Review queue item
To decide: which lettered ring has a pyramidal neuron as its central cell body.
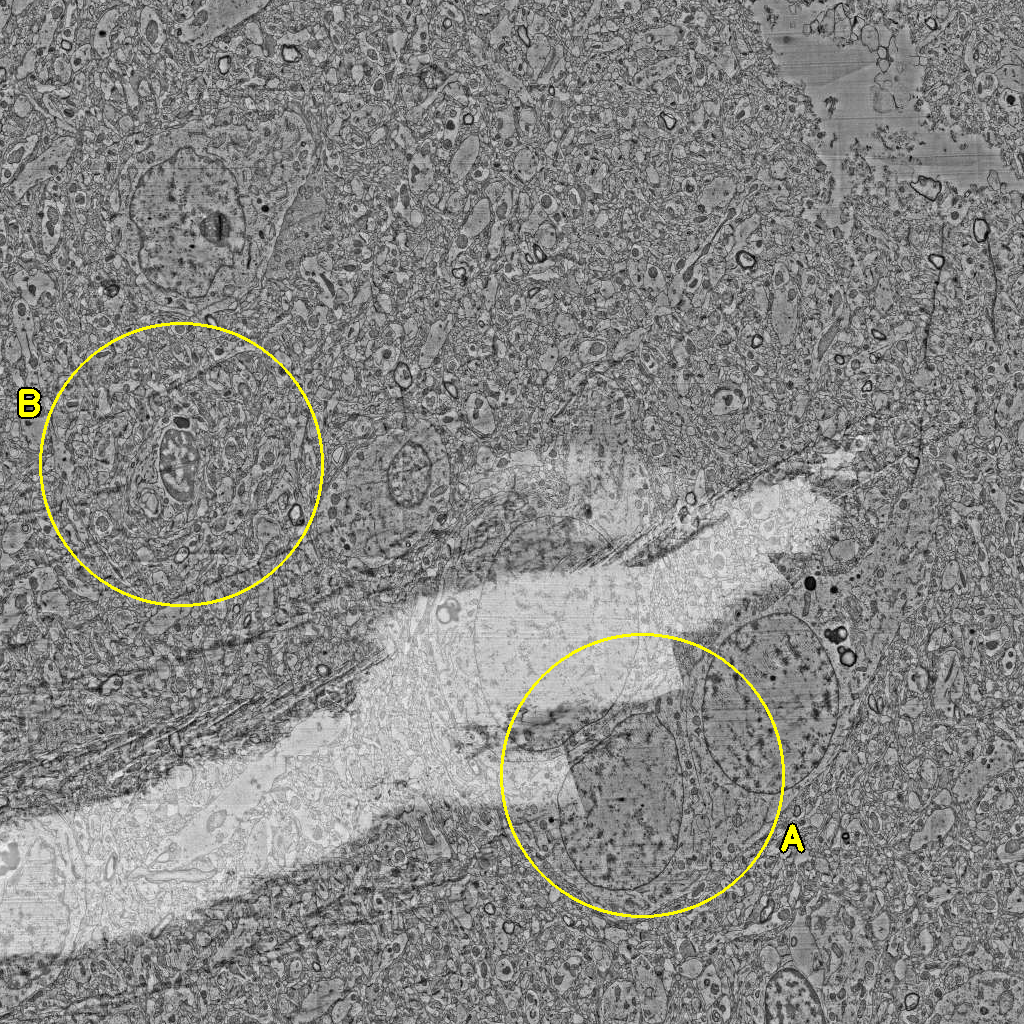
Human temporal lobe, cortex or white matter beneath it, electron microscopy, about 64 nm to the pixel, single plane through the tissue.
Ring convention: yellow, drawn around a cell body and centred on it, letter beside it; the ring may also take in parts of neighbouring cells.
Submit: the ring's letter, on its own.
A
